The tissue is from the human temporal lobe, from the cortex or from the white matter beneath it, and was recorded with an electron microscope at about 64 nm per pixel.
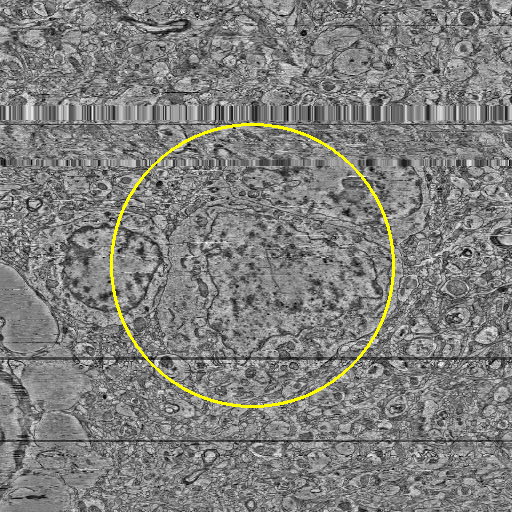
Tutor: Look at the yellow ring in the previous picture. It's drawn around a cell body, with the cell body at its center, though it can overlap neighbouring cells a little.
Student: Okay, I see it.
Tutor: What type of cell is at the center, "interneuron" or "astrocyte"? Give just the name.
interneuron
